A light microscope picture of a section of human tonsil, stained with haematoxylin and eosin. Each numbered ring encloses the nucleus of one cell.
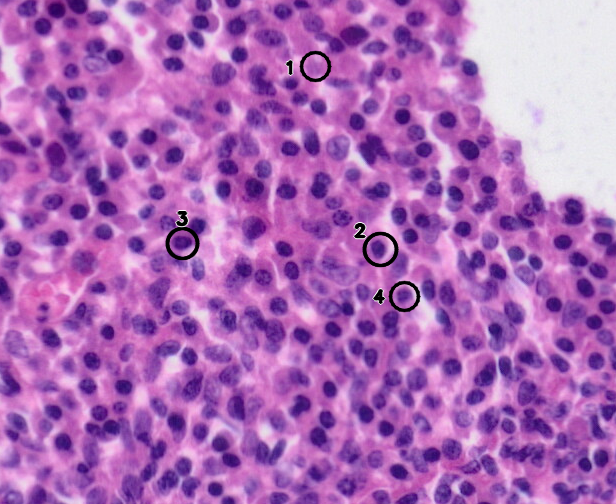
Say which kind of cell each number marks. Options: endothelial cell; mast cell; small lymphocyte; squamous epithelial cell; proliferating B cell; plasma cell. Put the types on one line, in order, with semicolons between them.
squamous epithelial cell; plasma cell; plasma cell; plasma cell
